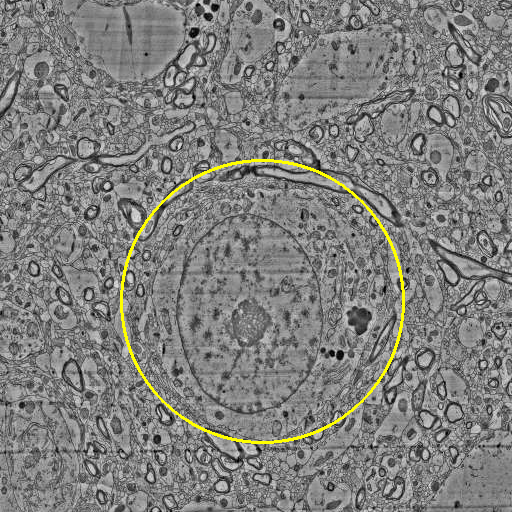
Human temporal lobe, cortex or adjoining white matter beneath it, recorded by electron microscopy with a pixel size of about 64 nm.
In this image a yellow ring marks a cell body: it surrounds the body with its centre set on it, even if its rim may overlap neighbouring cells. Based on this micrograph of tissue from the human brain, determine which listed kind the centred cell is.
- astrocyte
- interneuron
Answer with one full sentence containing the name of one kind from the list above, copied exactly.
It is an interneuron whose body the yellow ring encloses at its centre.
